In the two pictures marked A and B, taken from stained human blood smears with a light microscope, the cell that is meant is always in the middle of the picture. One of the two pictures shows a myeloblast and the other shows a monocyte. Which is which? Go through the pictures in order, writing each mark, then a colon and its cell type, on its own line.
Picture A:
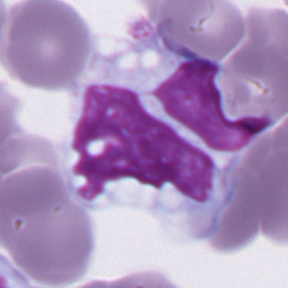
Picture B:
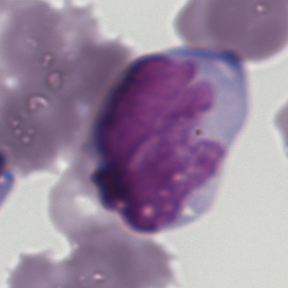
A: monocyte
B: myeloblast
